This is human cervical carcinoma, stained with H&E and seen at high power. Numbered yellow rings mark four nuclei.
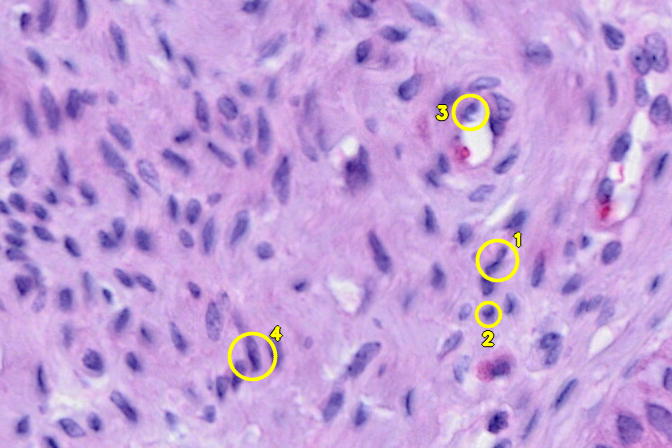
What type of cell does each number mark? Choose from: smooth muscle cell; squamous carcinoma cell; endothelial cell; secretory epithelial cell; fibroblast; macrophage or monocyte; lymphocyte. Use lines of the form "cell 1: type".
cell 1: fibroblast
cell 2: fibroblast
cell 3: endothelial cell
cell 4: fibroblast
